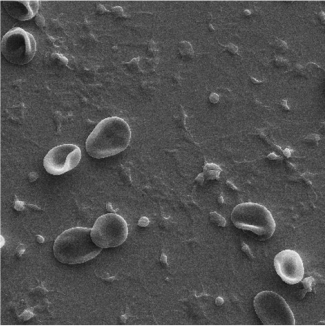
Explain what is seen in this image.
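Adherent platelets and a few larger blood cells lie on a flat surface seen by scanning electron microscopy. The larger cells are smooth discs with a central depression, some with a raised or folded rim, lying singly or in pairs. The surface between them is densely scattered with small, flattened platelets; many of them are spread, with thin, branching projections that extend over the surface, and some lie in small clusters. Fine strands and irregular material cover parts of the background around them.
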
